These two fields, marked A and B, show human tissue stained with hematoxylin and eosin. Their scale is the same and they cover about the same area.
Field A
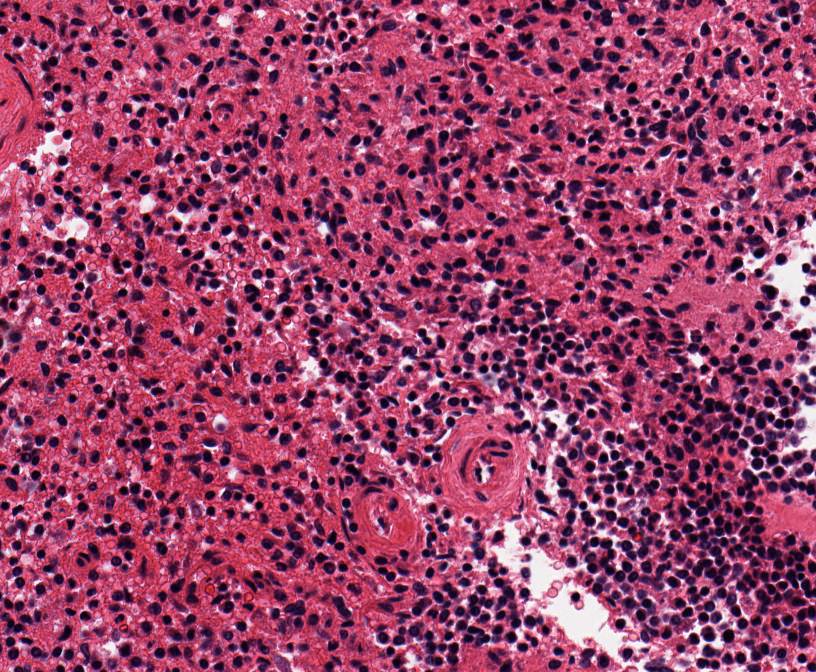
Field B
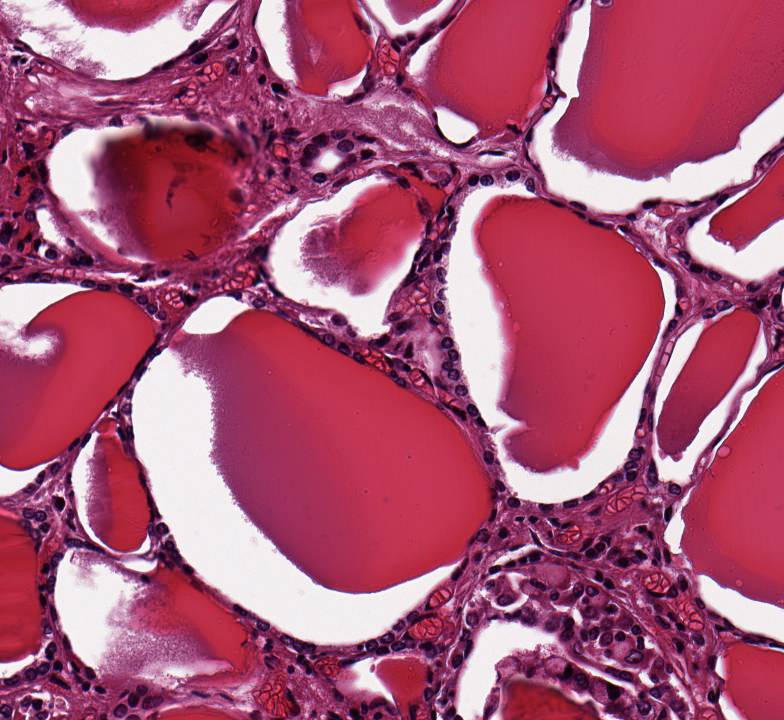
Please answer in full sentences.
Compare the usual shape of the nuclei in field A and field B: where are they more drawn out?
The nuclei are more elongated in field B.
